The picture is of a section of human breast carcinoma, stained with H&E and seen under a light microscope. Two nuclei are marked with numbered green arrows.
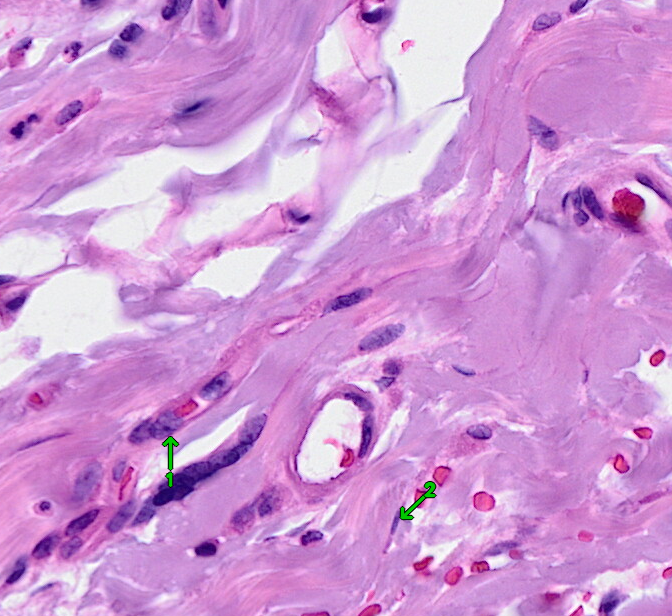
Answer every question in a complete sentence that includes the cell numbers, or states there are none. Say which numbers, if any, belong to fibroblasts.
Only the cell at mark 2 is a fibroblast, and no other marked cell is.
